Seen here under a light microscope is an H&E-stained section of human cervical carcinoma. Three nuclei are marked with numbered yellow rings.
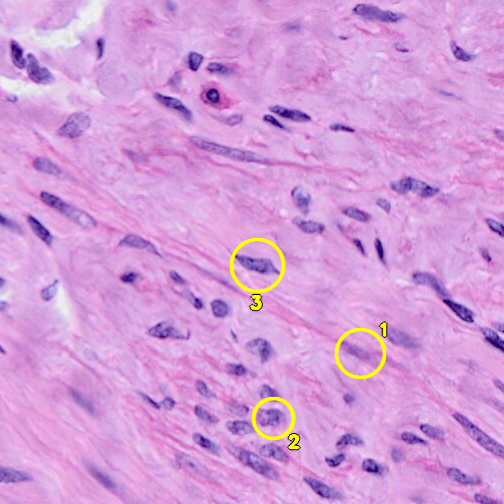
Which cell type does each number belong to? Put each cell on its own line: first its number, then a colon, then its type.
1: smooth muscle cell
2: smooth muscle cell
3: fibroblast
